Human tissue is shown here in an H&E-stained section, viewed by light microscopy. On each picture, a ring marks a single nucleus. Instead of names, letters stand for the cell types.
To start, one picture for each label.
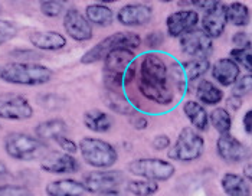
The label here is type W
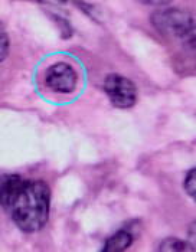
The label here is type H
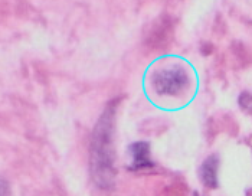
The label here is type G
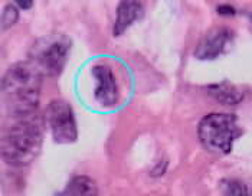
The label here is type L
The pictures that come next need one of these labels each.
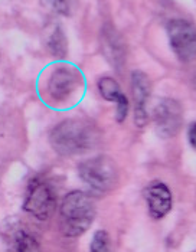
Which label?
type L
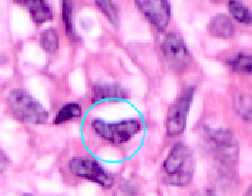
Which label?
type L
